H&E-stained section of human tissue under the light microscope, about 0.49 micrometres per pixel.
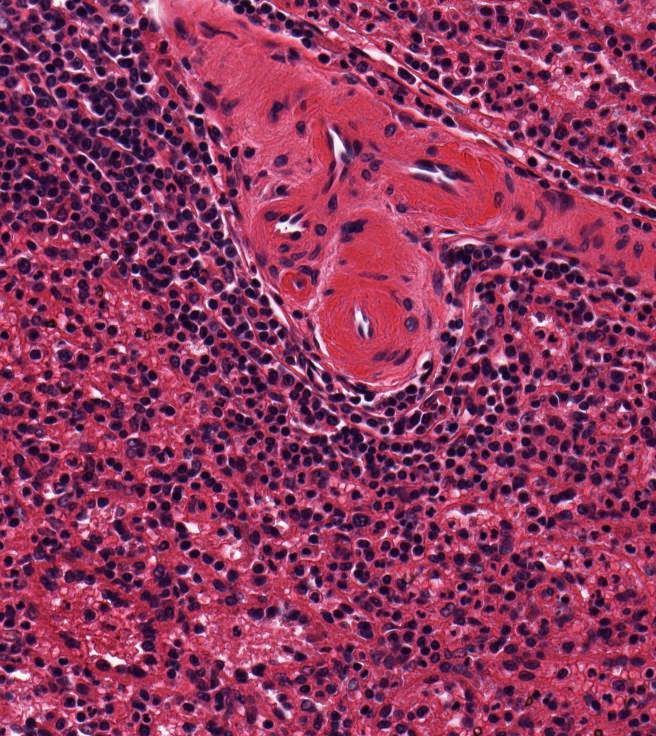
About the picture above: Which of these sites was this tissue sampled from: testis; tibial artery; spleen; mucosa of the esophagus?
spleen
